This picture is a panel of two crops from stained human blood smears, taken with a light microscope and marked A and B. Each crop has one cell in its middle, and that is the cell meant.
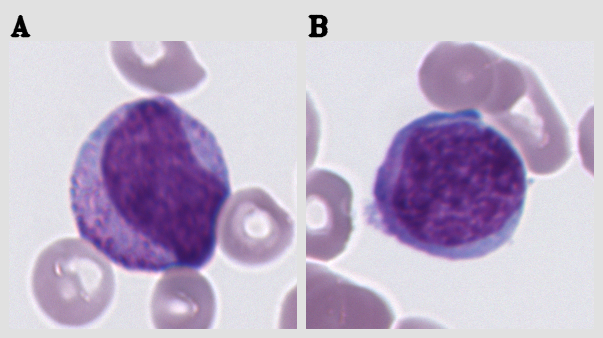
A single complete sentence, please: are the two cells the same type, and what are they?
Yes, both crops show atypical promyelocytes in the middle.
